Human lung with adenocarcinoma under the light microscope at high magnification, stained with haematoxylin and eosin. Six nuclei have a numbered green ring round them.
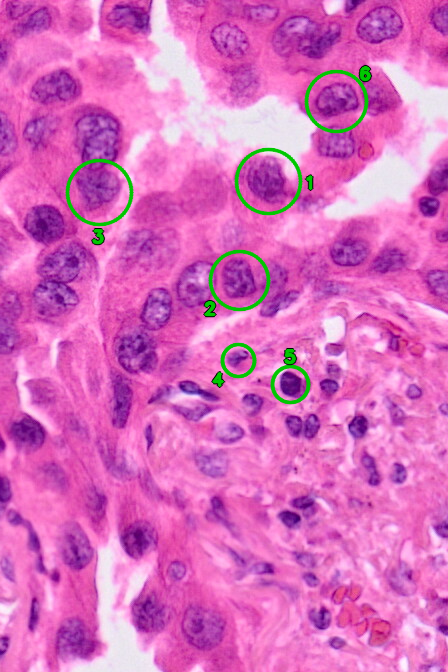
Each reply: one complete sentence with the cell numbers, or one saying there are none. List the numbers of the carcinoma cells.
The cells numbered 1, 2, 3 and 6 are of one kind: carcinoma cells.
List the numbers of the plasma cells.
Exactly one numbered cell is a plasma cell, and that cell is number 5.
